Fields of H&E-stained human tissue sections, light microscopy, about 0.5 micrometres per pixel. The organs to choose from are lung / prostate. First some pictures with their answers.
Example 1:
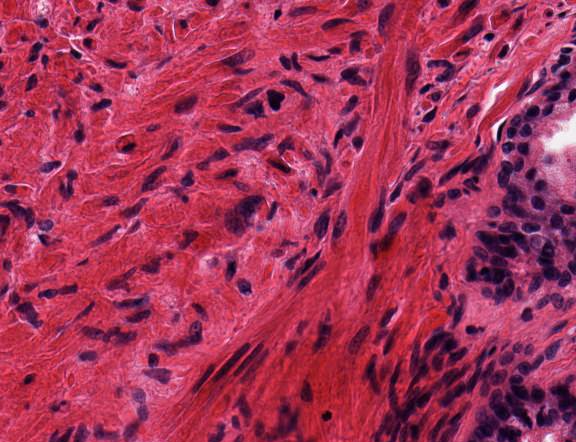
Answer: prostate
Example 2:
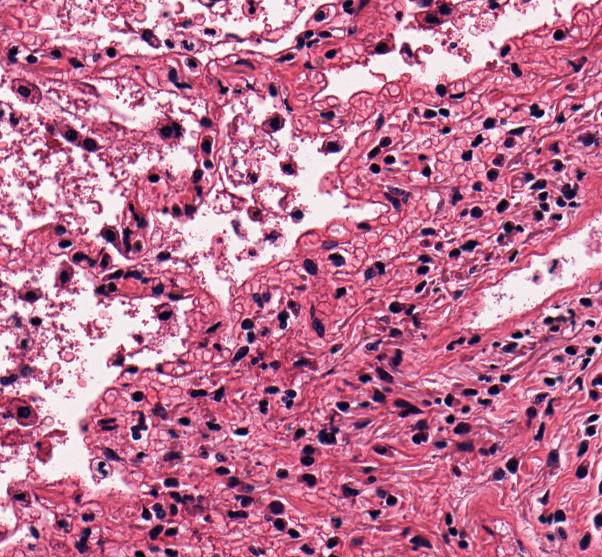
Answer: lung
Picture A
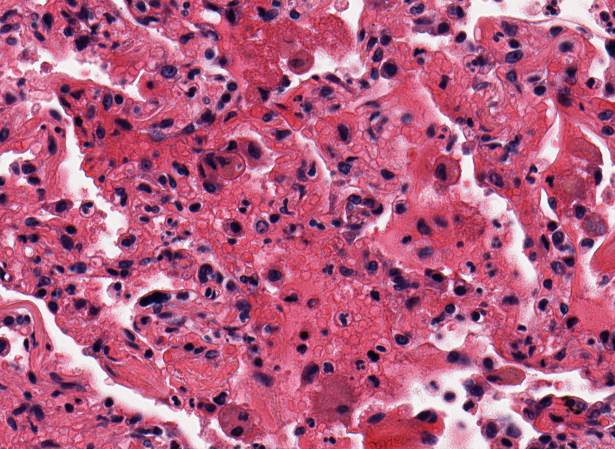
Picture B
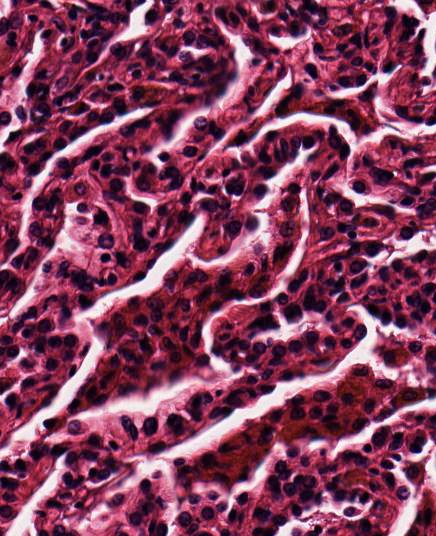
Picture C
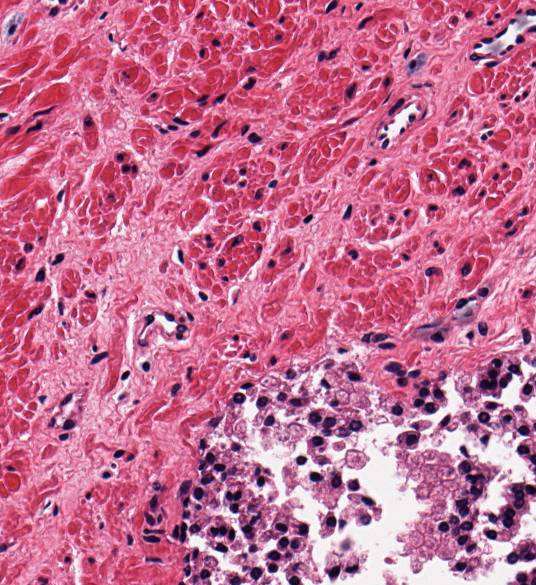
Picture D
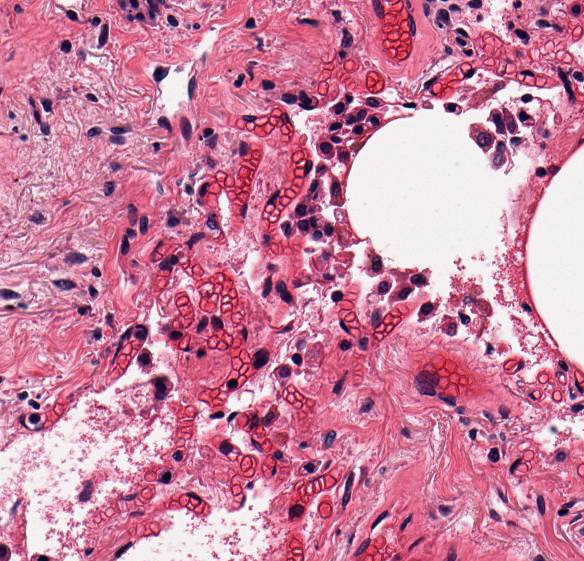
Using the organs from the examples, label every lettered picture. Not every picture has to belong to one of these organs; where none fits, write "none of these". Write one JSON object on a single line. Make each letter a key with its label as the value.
{"A": "lung", "B": "lung", "C": "prostate", "D": "lung"}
